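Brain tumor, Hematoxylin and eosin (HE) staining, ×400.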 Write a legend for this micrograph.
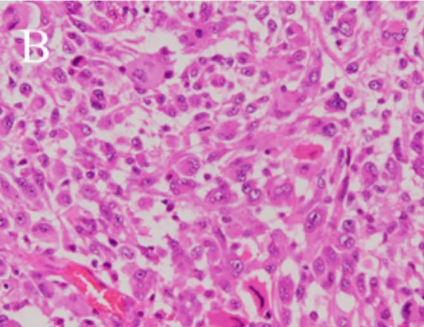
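The cells vary greatly in size and shape, from polygonal to elongated forms. Their nuclei are large, irregular and hyperchromatic, with prominent nucleoli, and several cells hold more than one nucleus. The cytoplasm is abundant and bright pink. Small vessels with red blood cells lie between the cells at the lower edge.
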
